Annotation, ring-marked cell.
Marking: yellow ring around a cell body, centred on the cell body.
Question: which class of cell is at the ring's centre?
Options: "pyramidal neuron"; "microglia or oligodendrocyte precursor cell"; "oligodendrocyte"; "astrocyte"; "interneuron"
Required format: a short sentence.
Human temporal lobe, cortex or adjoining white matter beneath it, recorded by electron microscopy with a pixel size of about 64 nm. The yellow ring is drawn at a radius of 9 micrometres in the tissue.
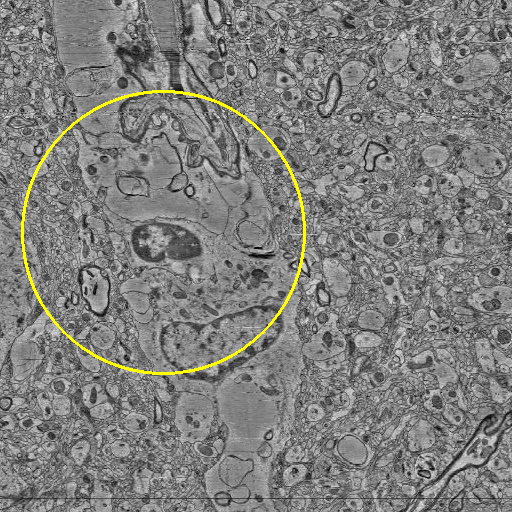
At the ring's centre is a microglial cell or oligodendrocyte precursor cell.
